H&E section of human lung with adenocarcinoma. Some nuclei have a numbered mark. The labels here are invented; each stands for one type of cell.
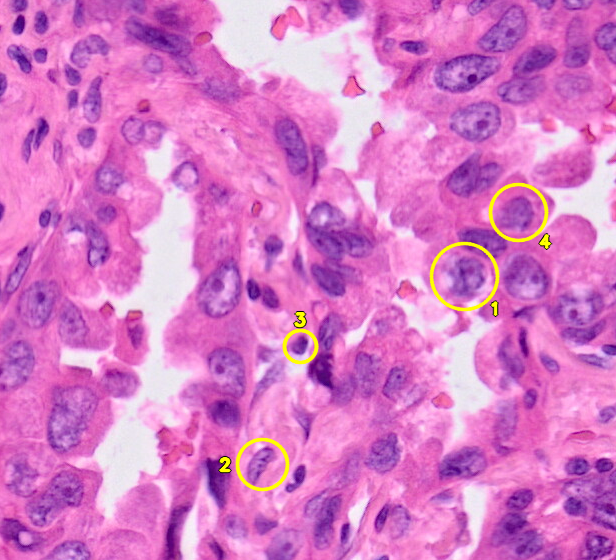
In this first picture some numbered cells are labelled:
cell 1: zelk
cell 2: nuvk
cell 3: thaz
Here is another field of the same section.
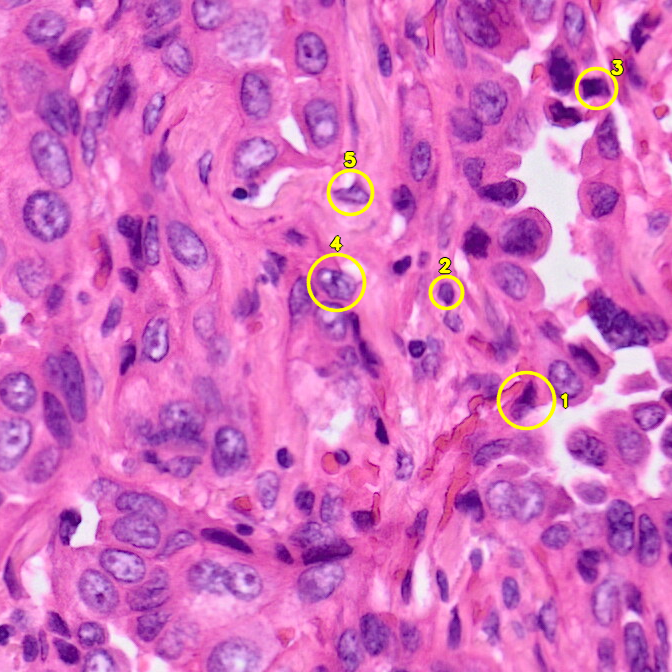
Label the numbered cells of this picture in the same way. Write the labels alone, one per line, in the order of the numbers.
zelk
thaz
zelk
zelk
nuvk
